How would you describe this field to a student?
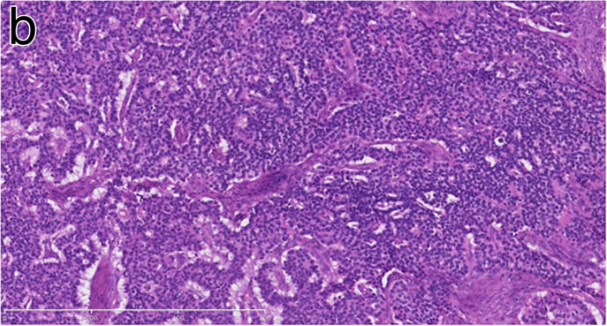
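Medium-power view of a densely cellular tumor composed of crowded small cells with dark purple nuclei and scant pink cytoplasm. The cells are arranged in solid nests and sheets, in cords and ribbons, and around small lumens that give a rosette-like or gland-like appearance, especially at the lower left and right. Thin bands of pink fibrous stroma with vessels run between the nests and separate the tumor into lobules. The nuclei appear fairly uniform in size and shape, with no large areas of necrosis visible.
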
